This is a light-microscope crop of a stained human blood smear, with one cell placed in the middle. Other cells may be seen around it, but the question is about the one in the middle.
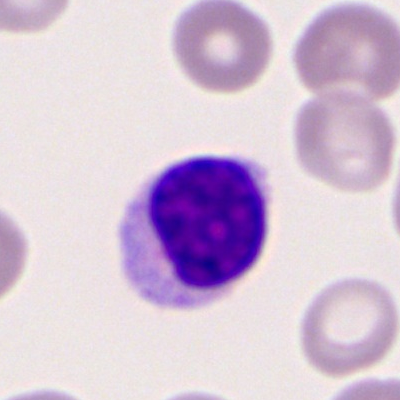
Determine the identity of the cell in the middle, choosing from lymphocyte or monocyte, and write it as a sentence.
Standing at the centre of this crop is a lymphocyte.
